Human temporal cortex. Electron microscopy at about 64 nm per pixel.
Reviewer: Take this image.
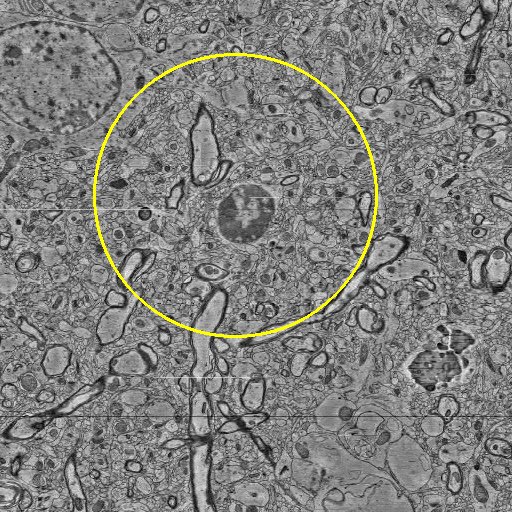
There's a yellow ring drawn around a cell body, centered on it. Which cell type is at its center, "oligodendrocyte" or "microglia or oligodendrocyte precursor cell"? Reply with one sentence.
At the center of the yellow ring is a microglial cell or oligodendrocyte precursor cell.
